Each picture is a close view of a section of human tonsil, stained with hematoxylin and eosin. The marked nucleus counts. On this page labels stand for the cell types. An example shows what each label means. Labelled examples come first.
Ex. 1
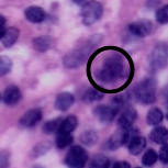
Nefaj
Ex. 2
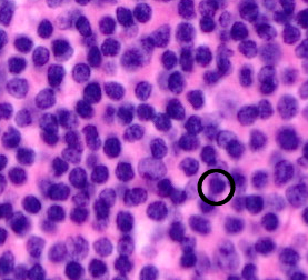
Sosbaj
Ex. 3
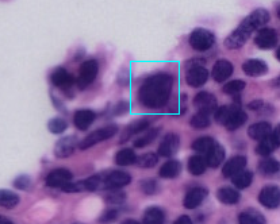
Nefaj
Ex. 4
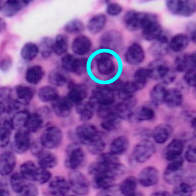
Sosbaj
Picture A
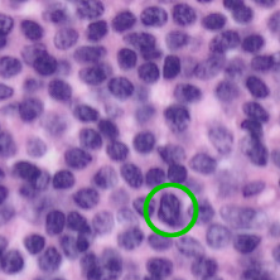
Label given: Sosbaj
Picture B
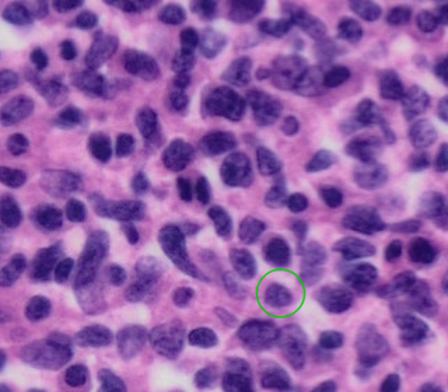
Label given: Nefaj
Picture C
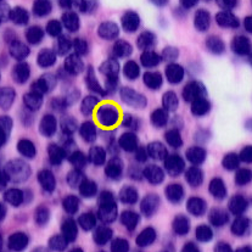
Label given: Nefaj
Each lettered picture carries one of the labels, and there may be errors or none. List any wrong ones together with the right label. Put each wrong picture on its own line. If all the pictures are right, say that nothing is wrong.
C: not Nefaj but Sosbaj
